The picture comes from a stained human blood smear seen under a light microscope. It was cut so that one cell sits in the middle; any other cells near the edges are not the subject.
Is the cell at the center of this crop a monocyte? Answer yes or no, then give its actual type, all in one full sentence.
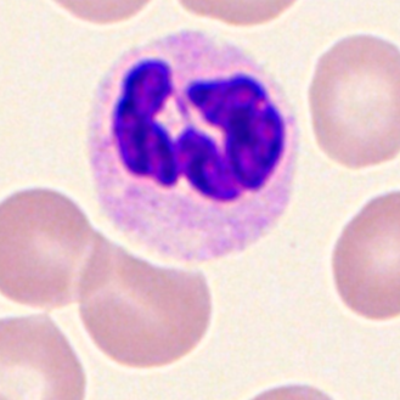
No, the cell positioned in the middle is a neutrophil, not a monocyte.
